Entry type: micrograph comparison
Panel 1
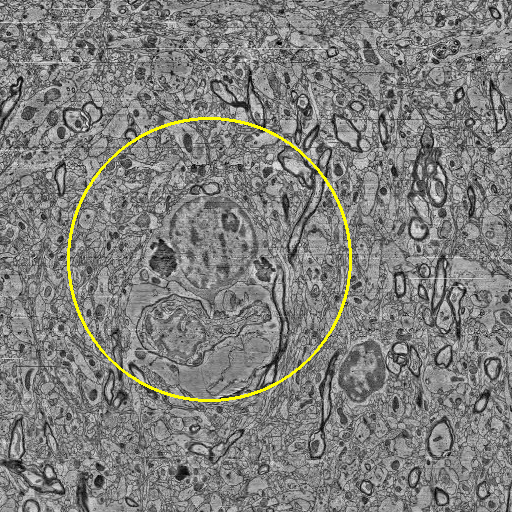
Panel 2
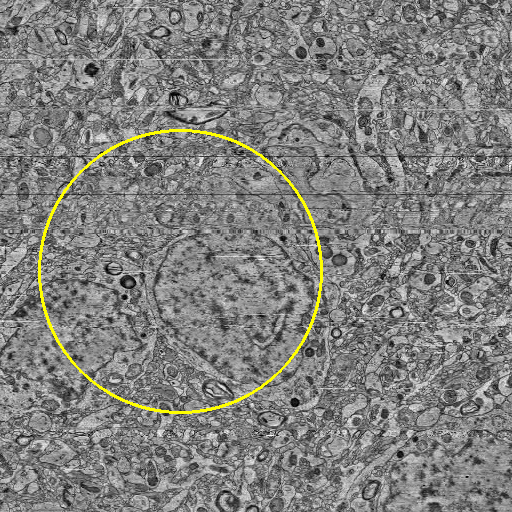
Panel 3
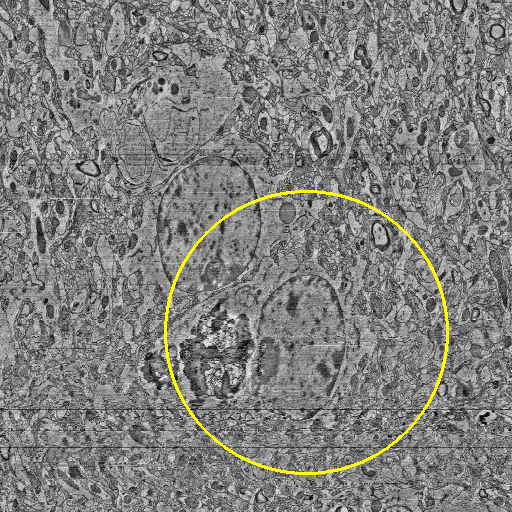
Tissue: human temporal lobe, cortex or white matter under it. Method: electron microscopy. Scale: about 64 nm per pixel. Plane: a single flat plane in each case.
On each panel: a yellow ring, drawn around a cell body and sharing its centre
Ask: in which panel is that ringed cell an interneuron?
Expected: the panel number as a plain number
2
